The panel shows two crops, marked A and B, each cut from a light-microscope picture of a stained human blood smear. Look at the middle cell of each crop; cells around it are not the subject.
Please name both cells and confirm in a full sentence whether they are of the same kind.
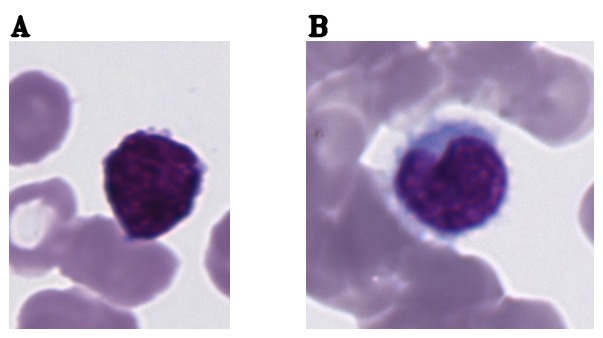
No, the cell centred in crop B is a hairy cell; crop A centres on a myeloblast.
